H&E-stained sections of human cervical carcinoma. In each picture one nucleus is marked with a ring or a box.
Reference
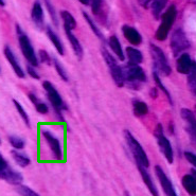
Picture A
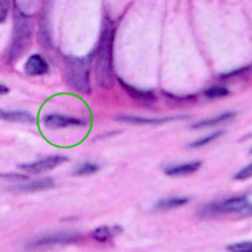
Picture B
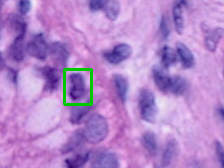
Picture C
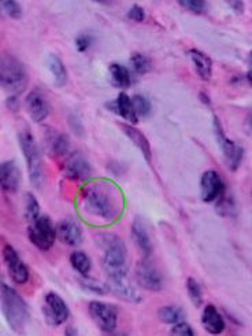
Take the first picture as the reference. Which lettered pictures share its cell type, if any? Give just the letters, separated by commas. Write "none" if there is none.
A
